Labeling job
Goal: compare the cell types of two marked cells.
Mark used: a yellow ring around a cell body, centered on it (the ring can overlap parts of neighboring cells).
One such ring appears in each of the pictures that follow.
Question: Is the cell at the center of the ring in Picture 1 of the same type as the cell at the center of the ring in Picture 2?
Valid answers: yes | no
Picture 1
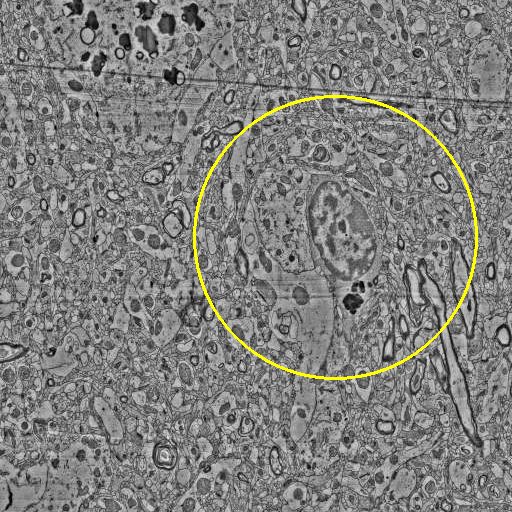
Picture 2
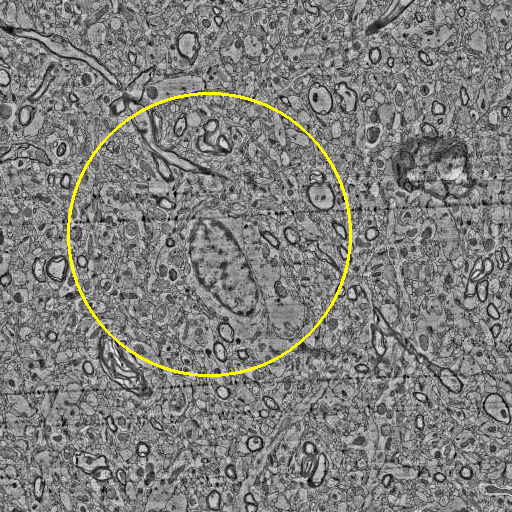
no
